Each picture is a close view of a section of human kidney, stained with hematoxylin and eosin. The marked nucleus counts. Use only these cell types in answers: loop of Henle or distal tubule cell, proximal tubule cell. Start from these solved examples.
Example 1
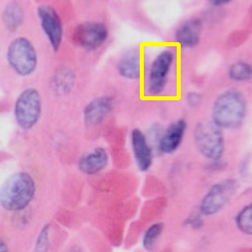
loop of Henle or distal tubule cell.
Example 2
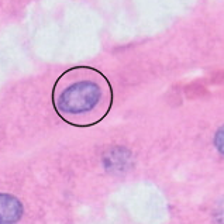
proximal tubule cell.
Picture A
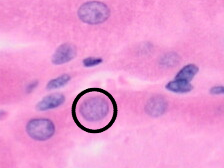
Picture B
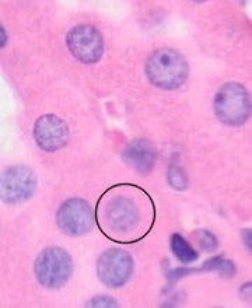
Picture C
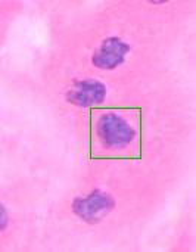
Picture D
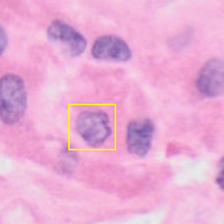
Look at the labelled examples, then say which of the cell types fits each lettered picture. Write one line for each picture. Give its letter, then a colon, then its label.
A: proximal tubule cell.
B: loop of Henle or distal tubule cell.
C: proximal tubule cell.
D: proximal tubule cell.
